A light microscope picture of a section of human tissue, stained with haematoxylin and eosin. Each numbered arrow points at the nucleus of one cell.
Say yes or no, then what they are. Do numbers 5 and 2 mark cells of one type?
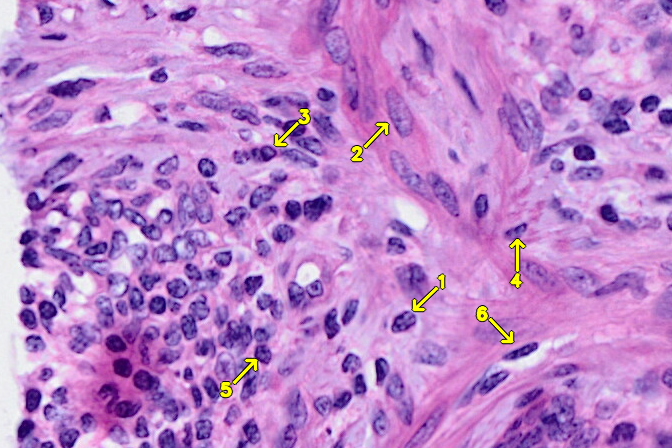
No, that is not right: cell 5 is a lymphocyte and cell 2 is a smooth muscle cell.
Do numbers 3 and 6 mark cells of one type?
Yes, the pair of cells 3 and 6 are both lymphocytes.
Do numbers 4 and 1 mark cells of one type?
No, that does not hold; cell 4 is a smooth muscle cell and cell 1 is a lymphocyte.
